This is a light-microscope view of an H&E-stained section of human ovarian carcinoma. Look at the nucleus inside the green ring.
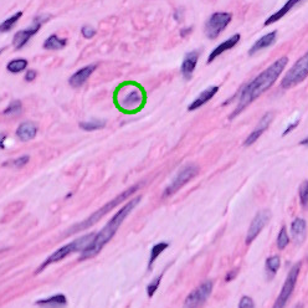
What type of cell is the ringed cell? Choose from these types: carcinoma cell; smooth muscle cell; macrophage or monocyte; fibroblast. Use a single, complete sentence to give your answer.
The cell type of the ringed cell is that of a smooth muscle cell.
